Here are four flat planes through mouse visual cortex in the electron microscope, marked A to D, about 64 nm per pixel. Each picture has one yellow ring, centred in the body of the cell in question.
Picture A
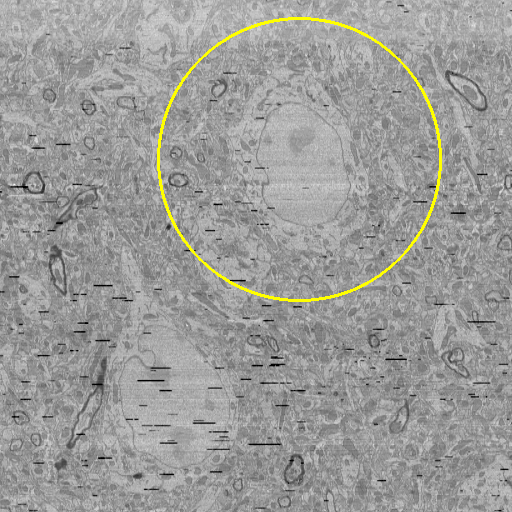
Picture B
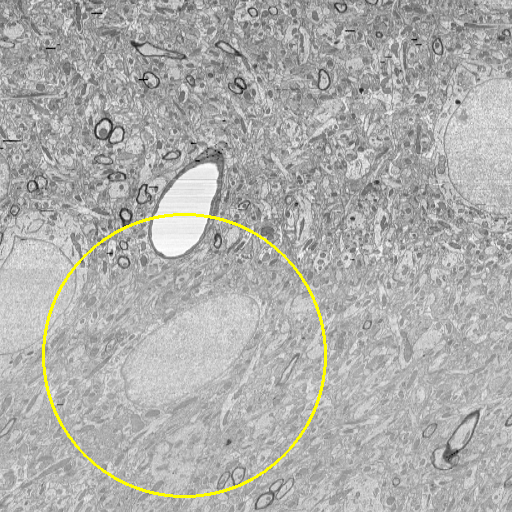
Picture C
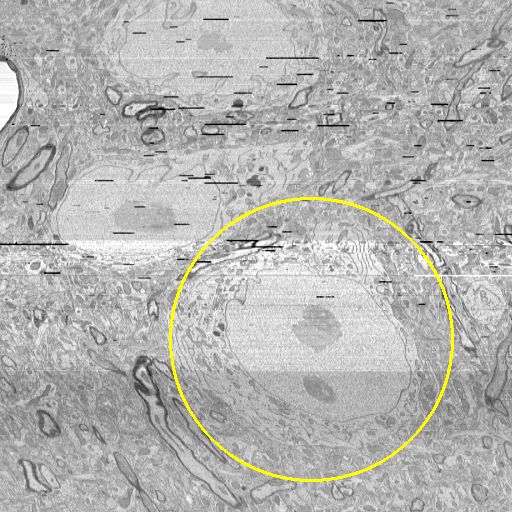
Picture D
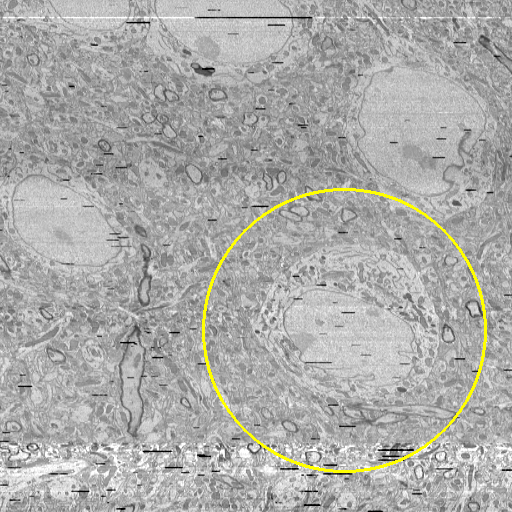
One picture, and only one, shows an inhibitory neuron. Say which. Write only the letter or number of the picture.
D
